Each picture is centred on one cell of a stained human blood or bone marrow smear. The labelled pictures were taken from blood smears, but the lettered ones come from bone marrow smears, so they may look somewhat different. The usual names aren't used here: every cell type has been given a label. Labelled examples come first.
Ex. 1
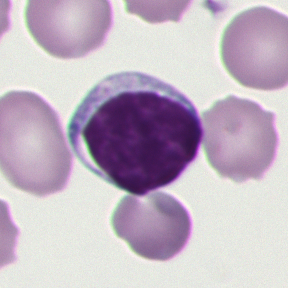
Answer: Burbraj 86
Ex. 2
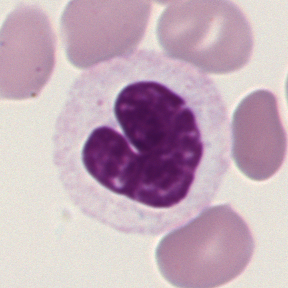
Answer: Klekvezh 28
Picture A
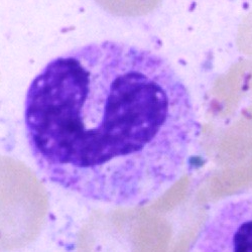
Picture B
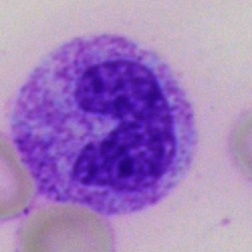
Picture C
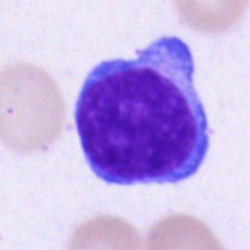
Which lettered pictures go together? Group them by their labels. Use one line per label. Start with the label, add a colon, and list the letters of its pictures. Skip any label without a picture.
Burbraj 86: C
Klekvezh 28: A, B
